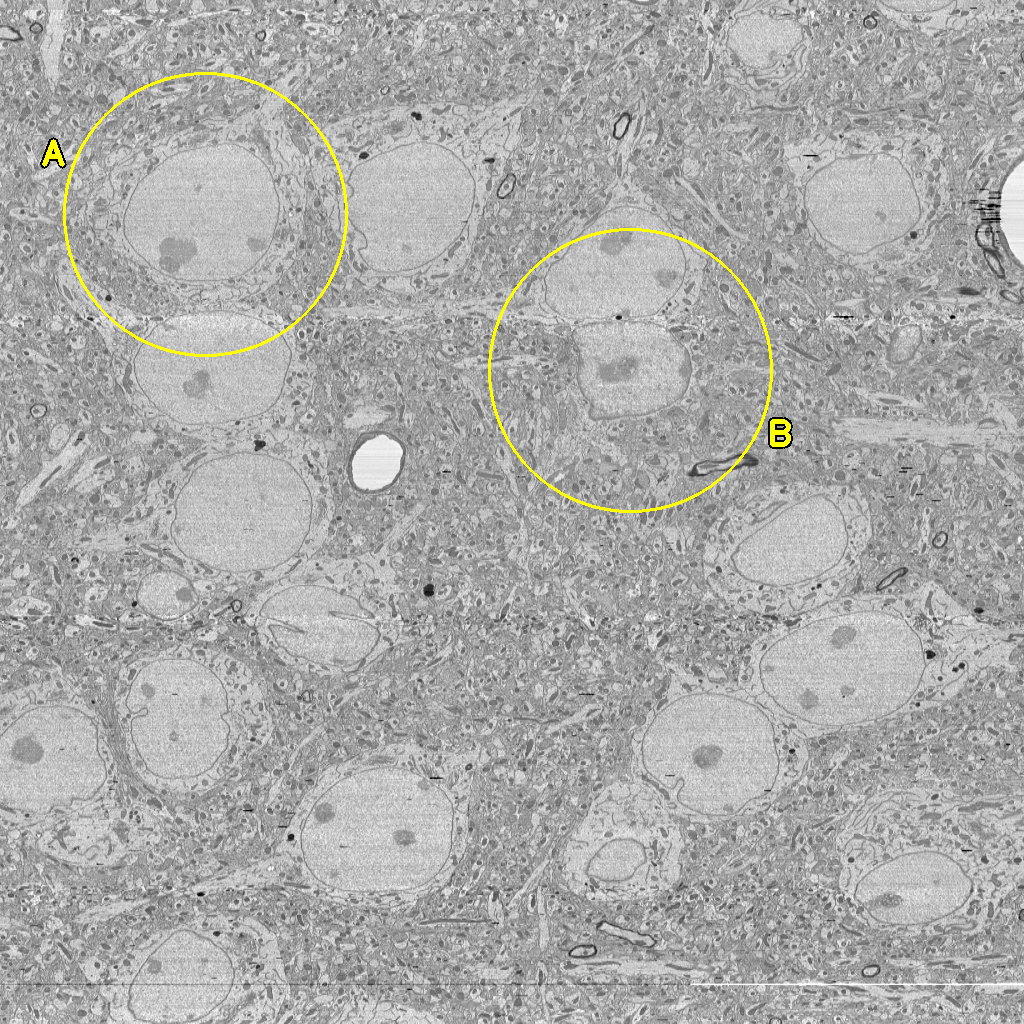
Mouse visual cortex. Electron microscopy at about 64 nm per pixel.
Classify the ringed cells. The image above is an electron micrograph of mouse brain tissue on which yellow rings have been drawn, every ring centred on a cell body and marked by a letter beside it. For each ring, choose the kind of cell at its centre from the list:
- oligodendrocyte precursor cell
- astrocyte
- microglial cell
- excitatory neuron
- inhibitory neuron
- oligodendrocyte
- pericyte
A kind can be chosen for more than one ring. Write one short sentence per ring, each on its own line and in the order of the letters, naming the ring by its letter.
Ring A is placed around an excitatory neuron.
Ring B is placed around an astrocyte.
